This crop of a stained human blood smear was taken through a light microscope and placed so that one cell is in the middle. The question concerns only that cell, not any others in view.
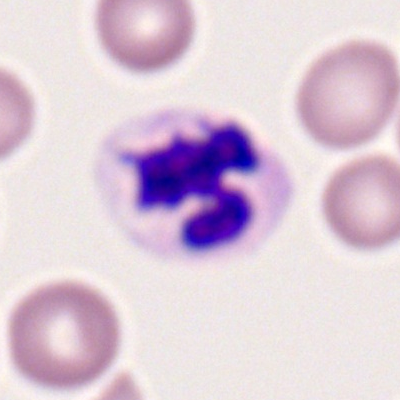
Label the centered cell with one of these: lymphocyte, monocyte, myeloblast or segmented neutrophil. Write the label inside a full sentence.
The central element of this crop is a cell, namely a segmented neutrophil.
